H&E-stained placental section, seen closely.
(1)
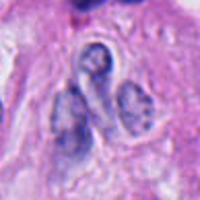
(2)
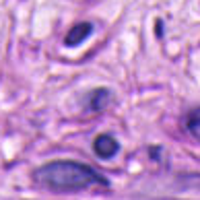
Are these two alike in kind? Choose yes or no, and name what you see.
No. First a cytotrophoblast, second a vascular myocyte.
